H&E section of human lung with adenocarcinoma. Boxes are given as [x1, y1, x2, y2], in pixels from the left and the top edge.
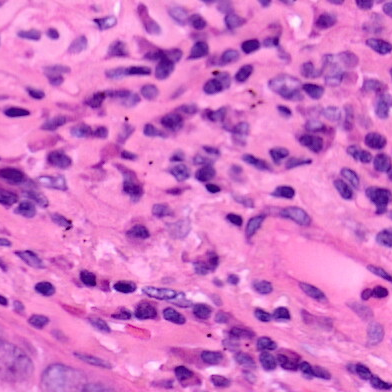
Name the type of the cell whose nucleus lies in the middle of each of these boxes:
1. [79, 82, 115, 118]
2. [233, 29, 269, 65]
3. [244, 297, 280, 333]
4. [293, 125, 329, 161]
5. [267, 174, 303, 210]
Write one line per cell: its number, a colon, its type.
1: plasma cell
2: lymphocyte
3: lymphocyte
4: plasma cell
5: lymphocyte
